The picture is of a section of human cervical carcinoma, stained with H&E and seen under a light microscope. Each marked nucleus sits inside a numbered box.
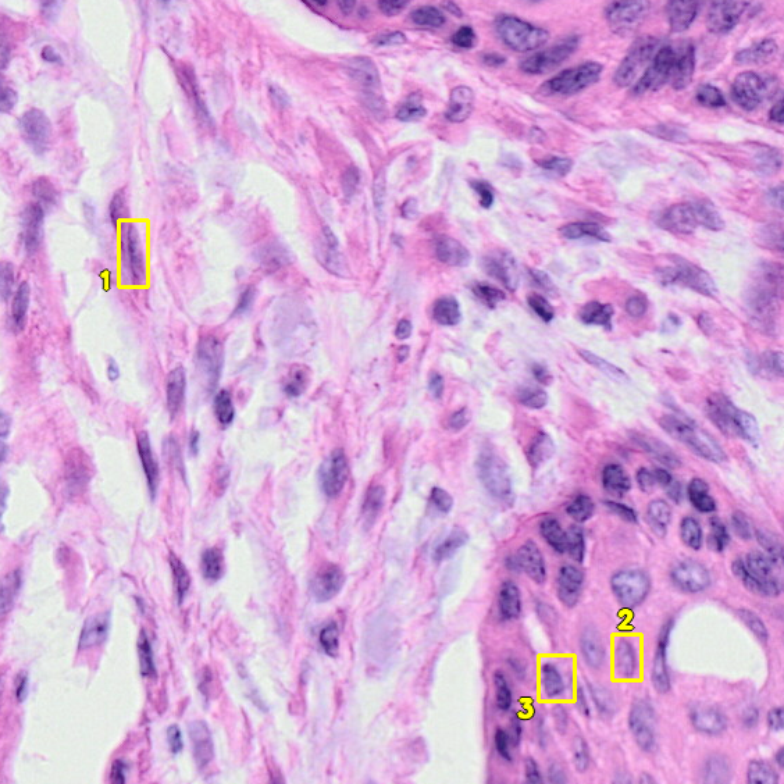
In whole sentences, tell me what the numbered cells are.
Cell 1 is a fibroblast, cell 2 is a squamous carcinoma cell and cell 3 is a squamous carcinoma cell.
